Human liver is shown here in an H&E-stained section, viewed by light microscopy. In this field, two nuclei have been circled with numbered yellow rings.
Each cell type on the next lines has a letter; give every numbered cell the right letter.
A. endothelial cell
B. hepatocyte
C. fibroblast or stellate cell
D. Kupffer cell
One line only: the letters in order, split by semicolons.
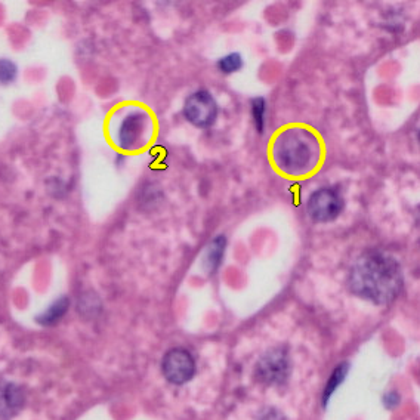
B; D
